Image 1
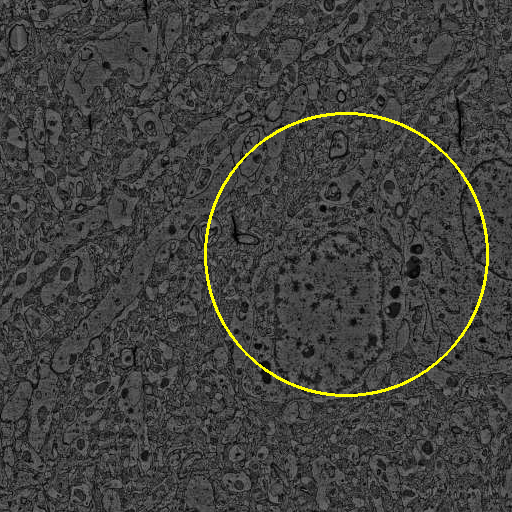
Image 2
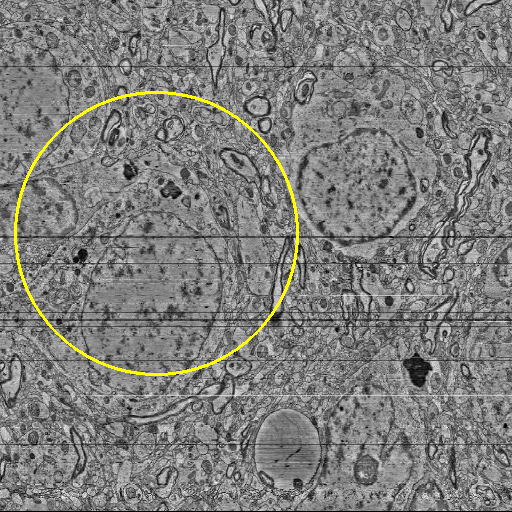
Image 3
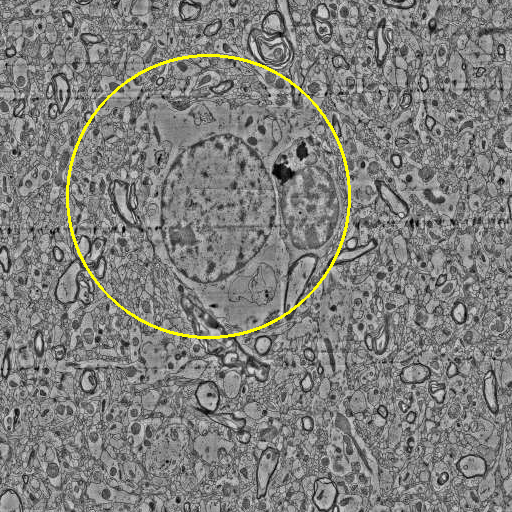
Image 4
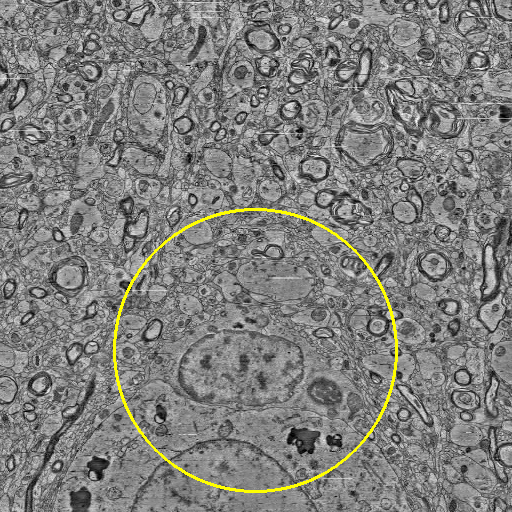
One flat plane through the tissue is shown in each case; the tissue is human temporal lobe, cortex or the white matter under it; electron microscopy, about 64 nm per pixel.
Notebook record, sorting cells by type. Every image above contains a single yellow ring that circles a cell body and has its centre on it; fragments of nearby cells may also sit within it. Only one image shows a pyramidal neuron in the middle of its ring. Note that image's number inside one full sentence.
For image 2, the cell in the middle of its yellow ring is the match.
